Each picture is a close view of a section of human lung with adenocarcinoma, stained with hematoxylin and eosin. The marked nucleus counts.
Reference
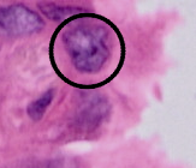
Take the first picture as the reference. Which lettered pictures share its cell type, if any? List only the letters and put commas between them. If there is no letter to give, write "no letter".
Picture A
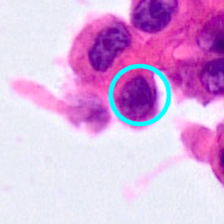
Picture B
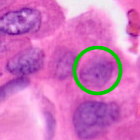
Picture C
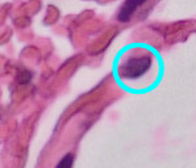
A, B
